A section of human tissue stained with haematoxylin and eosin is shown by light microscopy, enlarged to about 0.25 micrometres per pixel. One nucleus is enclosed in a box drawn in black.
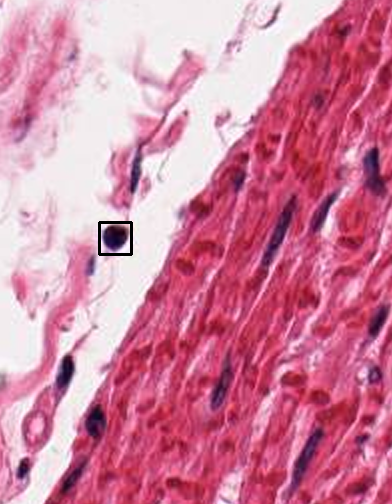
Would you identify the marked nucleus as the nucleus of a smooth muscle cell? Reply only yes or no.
no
